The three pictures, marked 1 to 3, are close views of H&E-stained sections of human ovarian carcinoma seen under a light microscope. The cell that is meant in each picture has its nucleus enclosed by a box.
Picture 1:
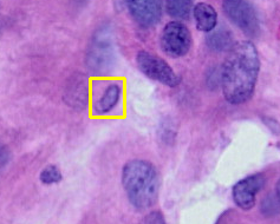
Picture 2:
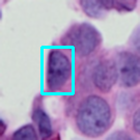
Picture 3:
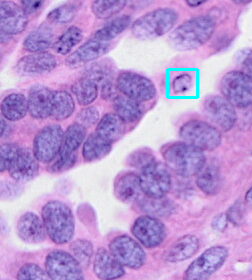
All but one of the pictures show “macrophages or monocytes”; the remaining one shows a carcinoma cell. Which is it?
2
